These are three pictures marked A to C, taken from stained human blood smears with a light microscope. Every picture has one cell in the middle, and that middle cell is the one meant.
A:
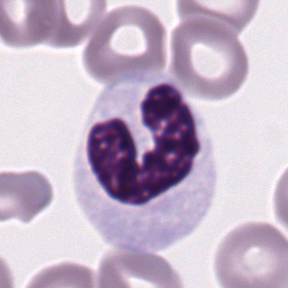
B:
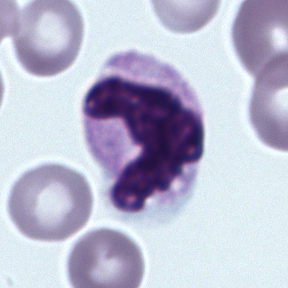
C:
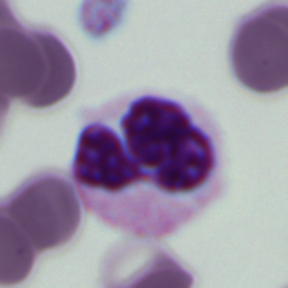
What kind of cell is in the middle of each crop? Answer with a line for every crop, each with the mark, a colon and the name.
A: band neutrophil
B: segmented neutrophil
C: segmented neutrophil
